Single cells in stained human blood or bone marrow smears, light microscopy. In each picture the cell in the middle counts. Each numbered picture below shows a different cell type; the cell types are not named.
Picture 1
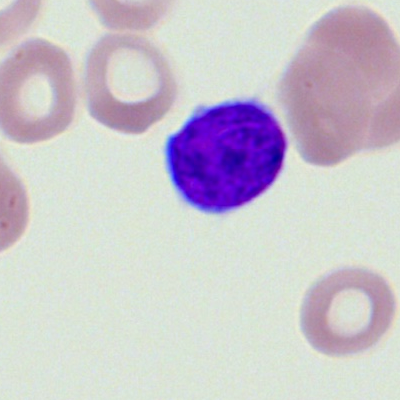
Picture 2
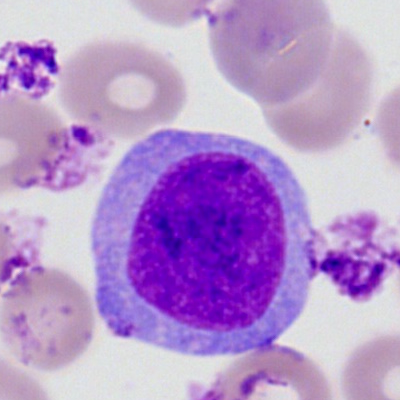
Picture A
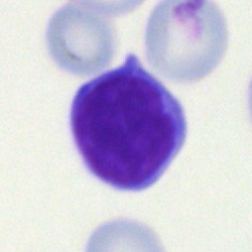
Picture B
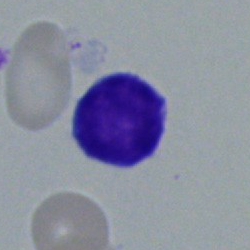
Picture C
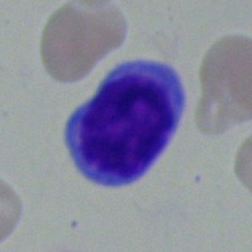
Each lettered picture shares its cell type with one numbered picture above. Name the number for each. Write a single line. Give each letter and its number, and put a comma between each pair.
A 1, B 1, C 1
